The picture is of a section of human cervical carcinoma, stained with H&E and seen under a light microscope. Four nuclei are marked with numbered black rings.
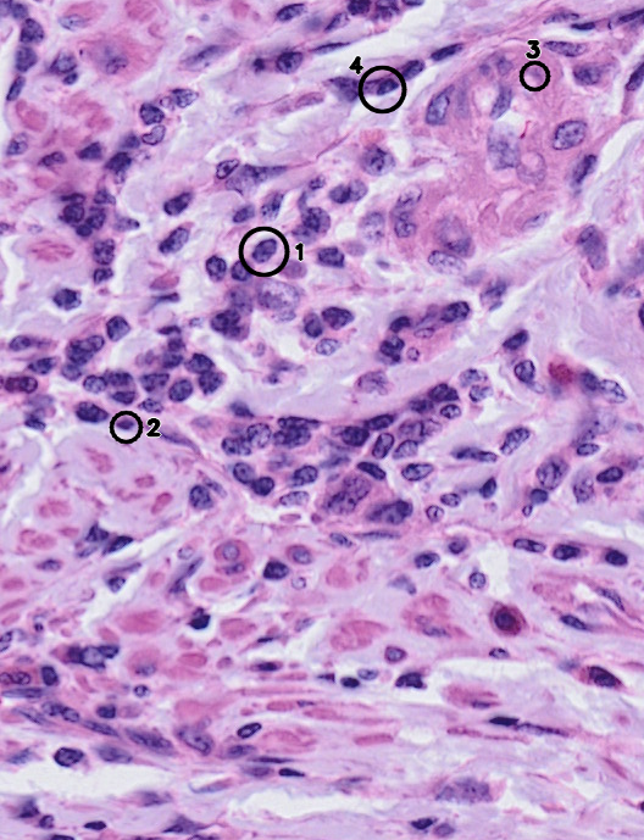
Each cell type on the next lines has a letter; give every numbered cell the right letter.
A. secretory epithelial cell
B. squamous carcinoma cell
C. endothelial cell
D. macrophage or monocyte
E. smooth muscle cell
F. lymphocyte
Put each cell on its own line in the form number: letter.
1: F
2: F
3: C
4: F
